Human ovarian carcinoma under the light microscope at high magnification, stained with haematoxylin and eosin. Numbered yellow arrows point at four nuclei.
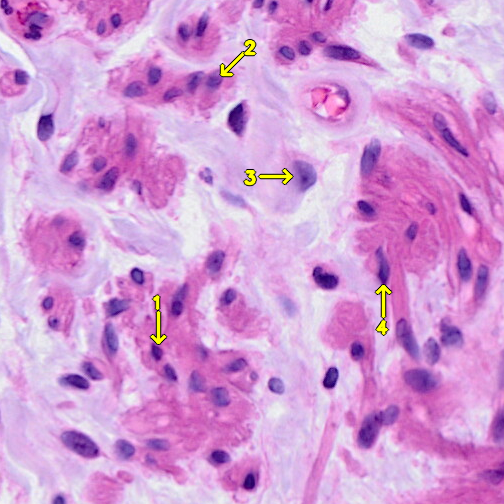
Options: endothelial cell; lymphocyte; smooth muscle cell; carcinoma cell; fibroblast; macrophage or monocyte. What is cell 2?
smooth muscle cell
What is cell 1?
smooth muscle cell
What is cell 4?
smooth muscle cell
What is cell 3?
fibroblast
